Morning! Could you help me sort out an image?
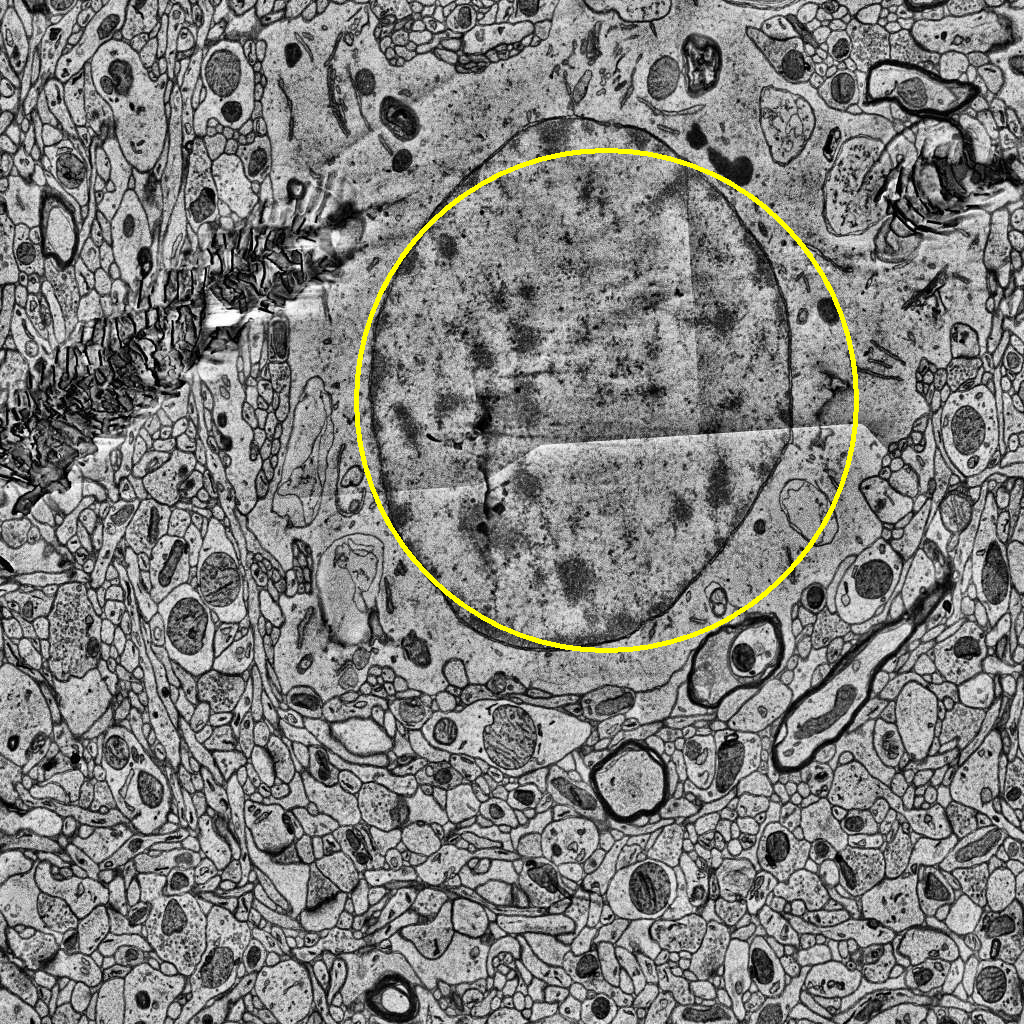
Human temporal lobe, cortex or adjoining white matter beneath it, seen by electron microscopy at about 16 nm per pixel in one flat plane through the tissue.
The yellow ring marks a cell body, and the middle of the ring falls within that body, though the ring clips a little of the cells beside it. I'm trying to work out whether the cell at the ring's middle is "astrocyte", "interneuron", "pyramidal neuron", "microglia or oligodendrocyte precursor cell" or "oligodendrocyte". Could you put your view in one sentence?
The cell body at the ring's middle is that of an astrocyte.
